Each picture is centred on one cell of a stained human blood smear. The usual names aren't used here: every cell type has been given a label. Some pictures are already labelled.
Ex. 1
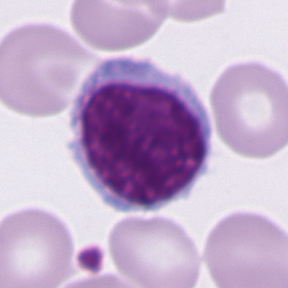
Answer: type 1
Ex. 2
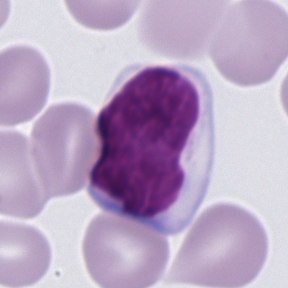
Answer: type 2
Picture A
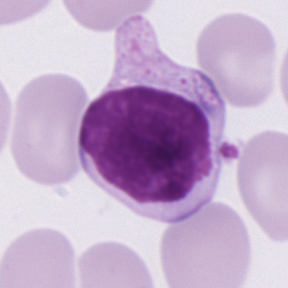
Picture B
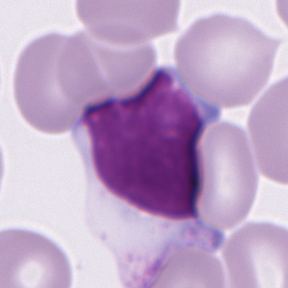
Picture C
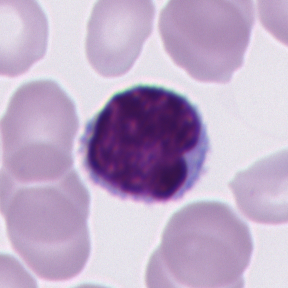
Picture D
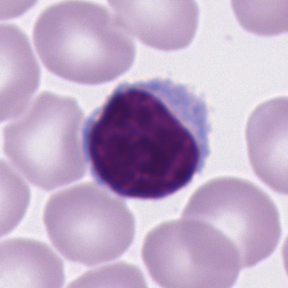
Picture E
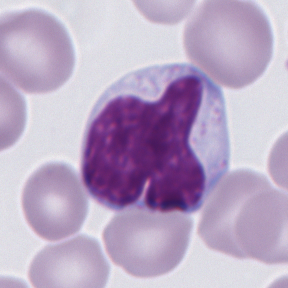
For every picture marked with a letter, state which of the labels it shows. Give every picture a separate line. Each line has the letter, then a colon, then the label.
A: type 2
B: type 2
C: type 1
D: type 1
E: type 2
